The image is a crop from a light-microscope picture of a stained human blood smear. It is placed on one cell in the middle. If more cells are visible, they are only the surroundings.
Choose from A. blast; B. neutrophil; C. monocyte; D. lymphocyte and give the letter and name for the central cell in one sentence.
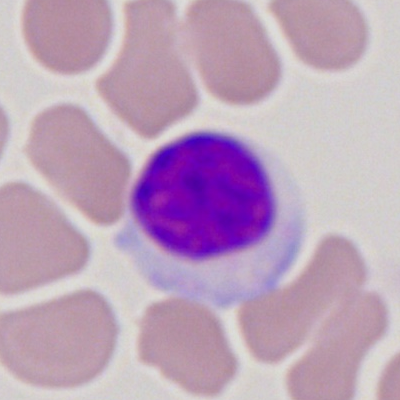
The centered cell is a lymphocyte, which is why option D is right.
